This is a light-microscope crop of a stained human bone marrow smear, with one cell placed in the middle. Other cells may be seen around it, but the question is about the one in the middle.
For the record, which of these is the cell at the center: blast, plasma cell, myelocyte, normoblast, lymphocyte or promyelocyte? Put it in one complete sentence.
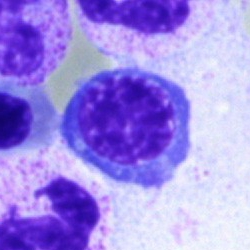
The cell shown in the center of this light-microscope crop is a normoblast.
